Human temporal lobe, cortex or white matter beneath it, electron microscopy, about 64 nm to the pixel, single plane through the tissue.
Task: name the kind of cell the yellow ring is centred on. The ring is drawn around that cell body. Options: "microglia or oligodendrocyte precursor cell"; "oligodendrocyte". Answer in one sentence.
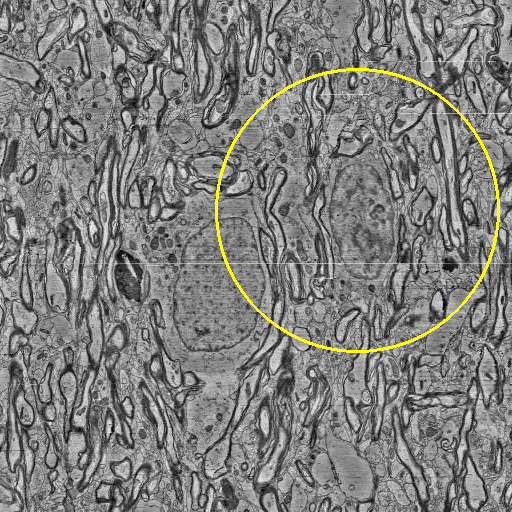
This cell body belongs to an oligodendrocyte.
